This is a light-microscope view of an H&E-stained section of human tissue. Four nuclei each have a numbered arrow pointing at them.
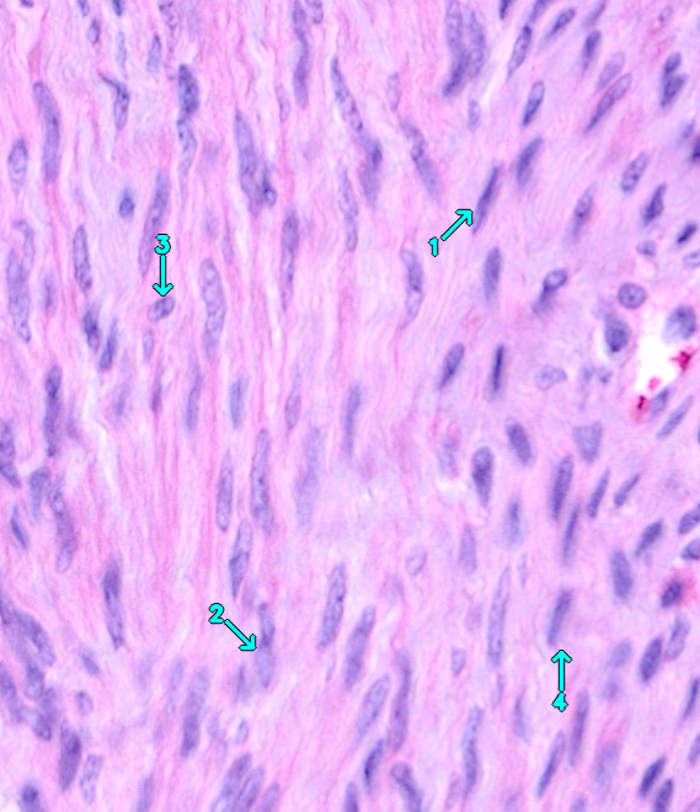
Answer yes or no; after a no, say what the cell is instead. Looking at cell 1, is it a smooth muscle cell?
No, it is a fibroblast.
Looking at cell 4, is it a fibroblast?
Yes.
